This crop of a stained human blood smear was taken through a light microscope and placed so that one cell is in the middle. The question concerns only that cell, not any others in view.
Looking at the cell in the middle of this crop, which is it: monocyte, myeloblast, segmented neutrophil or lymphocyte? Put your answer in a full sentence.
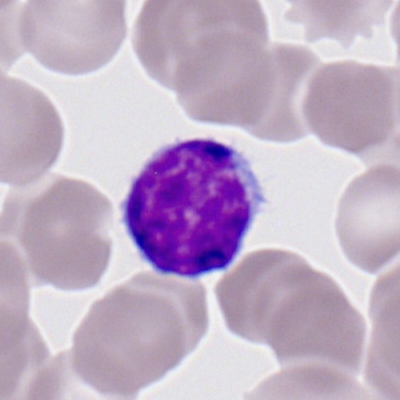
Here the cell in the middle is a lymphocyte.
